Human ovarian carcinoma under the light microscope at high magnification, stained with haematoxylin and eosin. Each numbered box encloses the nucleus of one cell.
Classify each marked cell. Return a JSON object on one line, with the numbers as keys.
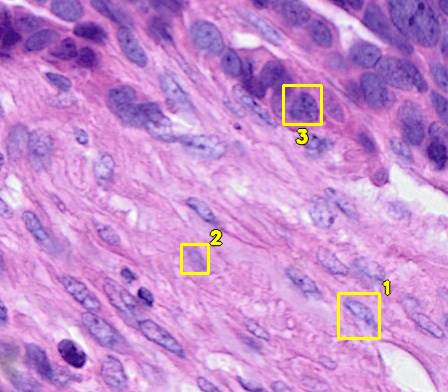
{"1": "fibroblast", "2": "fibroblast", "3": "carcinoma cell"}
